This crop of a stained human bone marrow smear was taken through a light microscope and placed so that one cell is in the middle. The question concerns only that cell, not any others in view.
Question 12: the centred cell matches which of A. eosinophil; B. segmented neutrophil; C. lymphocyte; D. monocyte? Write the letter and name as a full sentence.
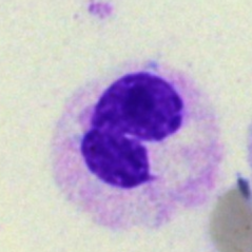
The cell in the middle is a segmented neutrophil, so option B is correct.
